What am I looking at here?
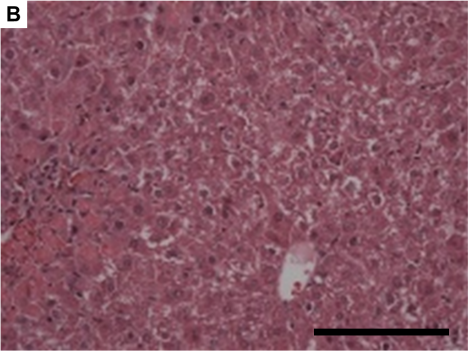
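This is liver parenchyma made of hepatocytes stained with hematoxylin and eosin. The hepatocytes are large polygonal cells arranged in plates, each with a round, centrally placed dark purple nucleus and pink, finely granular cytoplasm. Narrow pale spaces between the cell plates are the sinusoids. A thin-walled vein opens near the lower middle of the field. At the left edge there is a patch where the cells look denser and more disorganized, with many small dark nuclei crowded together. Away from that patch, the hepatocytes look fairly uniform and intact.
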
